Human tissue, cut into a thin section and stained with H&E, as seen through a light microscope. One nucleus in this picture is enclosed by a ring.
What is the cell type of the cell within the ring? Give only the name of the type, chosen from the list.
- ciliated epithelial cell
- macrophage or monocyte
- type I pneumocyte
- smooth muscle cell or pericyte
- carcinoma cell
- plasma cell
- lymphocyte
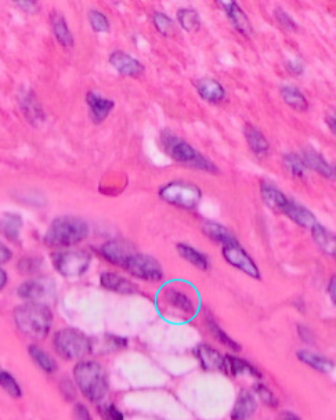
ciliated epithelial cell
